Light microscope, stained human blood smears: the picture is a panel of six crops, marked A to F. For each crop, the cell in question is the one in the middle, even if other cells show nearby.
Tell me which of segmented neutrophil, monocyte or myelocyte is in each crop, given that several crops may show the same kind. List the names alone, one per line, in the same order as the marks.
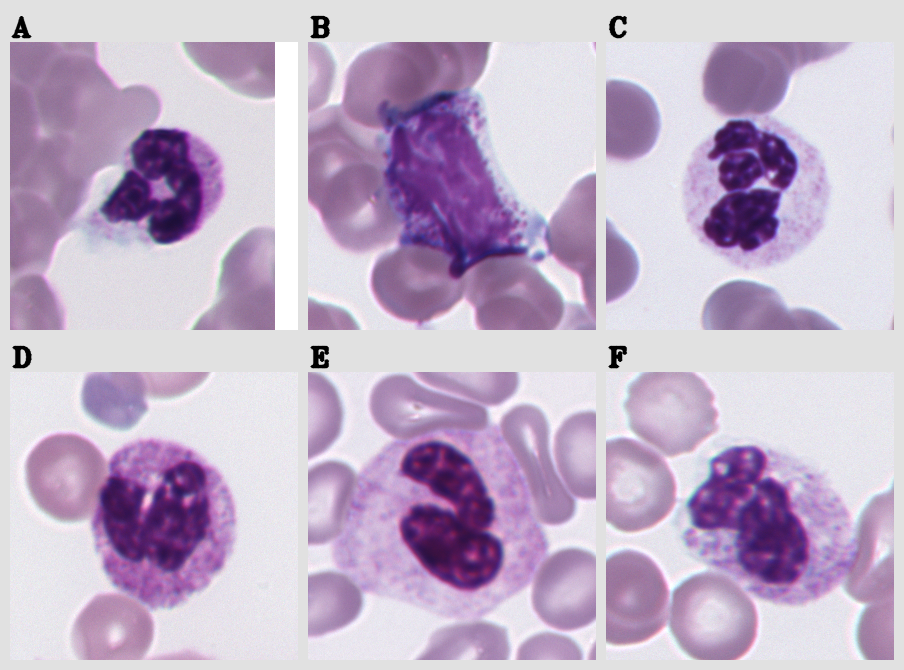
segmented neutrophil
myelocyte
segmented neutrophil
segmented neutrophil
segmented neutrophil
segmented neutrophil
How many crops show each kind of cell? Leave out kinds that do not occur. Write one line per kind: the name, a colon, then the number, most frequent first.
segmented neutrophil: 5
myelocyte: 1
